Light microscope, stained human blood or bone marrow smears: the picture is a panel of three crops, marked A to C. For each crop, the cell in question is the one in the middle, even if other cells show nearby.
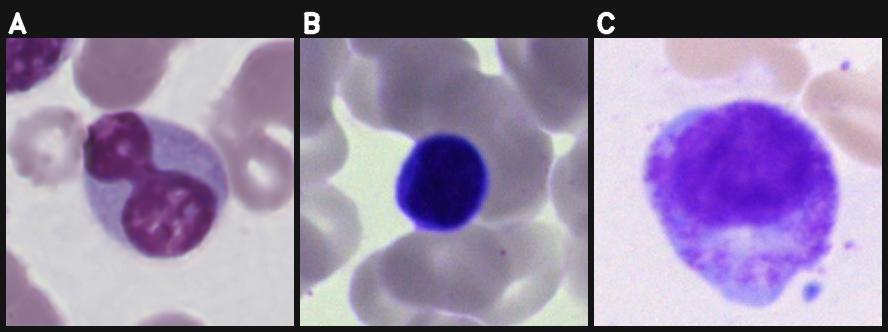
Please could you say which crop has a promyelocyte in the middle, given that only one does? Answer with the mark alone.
C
